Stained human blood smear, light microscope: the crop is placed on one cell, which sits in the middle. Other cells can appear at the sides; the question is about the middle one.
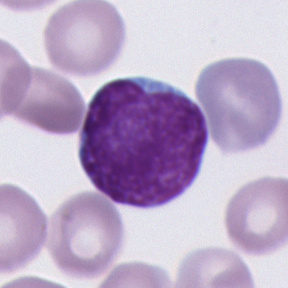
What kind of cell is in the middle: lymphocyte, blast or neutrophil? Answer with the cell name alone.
blast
